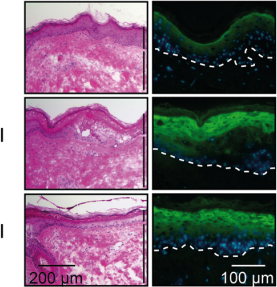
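In the pink-and-purple stained images the epidermis forms a thin, densely cellular surface band with a flaking layer on top in places, while the dermis below is pale pink, loose and fibrous with scattered small nuclei. In the fluorescence images, blue nuclei crowd along the lowest epidermal layer, which a dashed line traces, and green staining fills the suprabasal epidermis above it, stronger in the lower two rows than in the top row. Beneath the dashed line lie only scattered nuclei of the connective tissue.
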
